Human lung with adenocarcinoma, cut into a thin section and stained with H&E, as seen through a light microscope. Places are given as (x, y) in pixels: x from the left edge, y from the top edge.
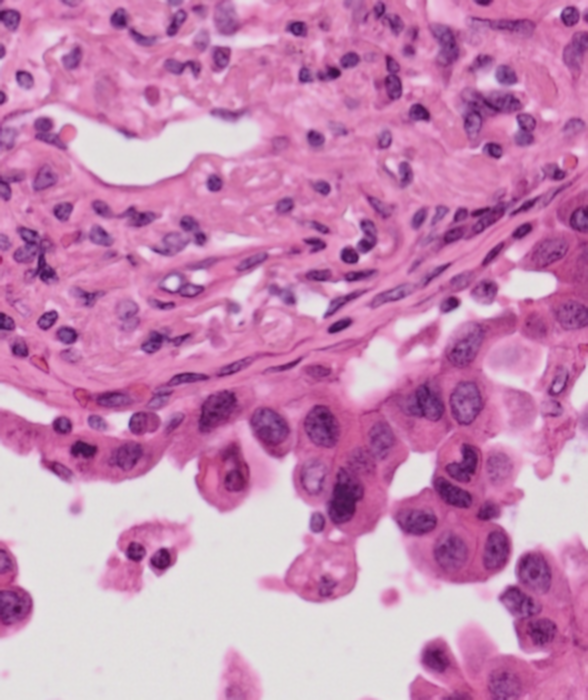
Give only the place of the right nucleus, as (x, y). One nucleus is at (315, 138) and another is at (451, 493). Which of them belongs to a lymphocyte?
(315, 138)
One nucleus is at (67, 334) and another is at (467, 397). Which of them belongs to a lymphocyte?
(67, 334)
